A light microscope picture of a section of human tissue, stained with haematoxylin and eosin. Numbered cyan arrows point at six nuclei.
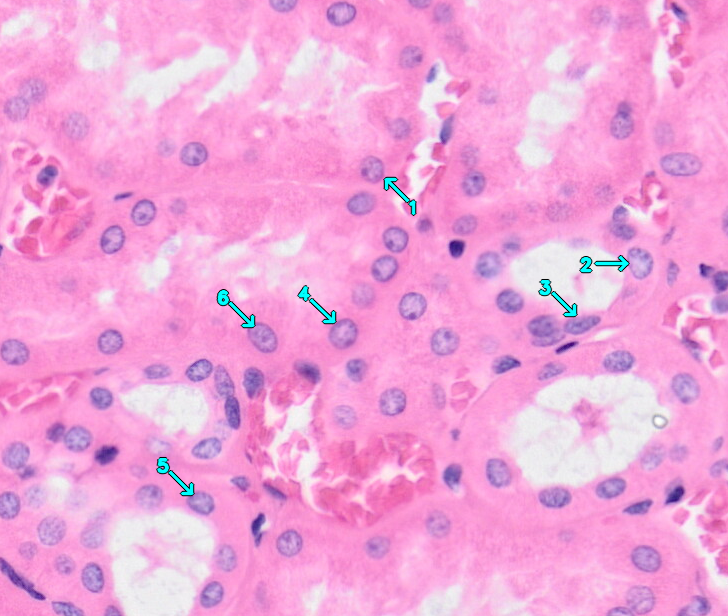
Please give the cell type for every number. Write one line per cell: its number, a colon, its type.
1: proximal tubule cell
2: collecting duct cell
3: collecting duct cell
4: proximal tubule cell
5: loop of Henle or distal tubule cell
6: proximal tubule cell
